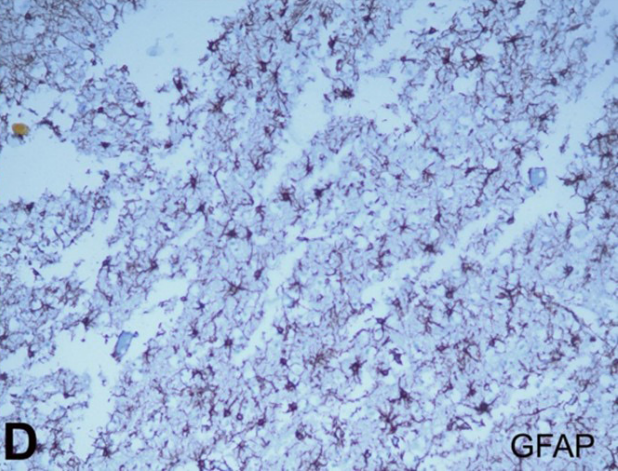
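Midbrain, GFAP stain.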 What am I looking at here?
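Numerous star-shaped cells with a small central body and many fine branching processes are stained brown. They are spread densely and fairly evenly across the field, and their processes interlace into a dense meshwork. Elongated clear clefts run diagonally through the tissue, separating bands of stained cells.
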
